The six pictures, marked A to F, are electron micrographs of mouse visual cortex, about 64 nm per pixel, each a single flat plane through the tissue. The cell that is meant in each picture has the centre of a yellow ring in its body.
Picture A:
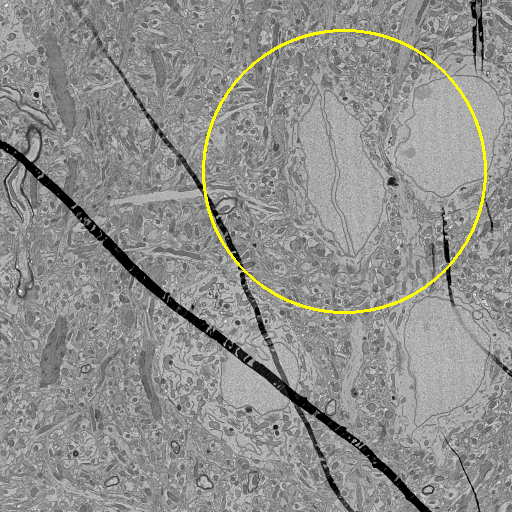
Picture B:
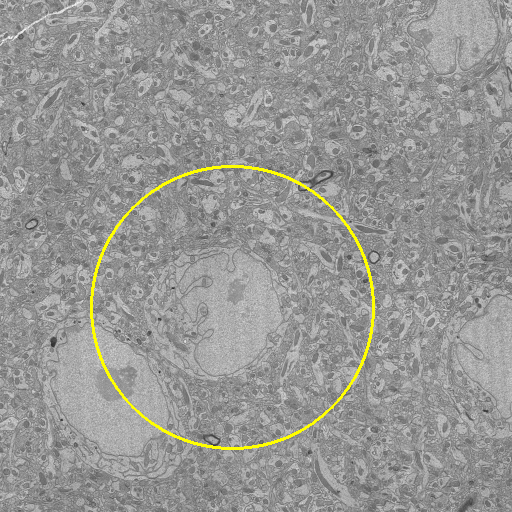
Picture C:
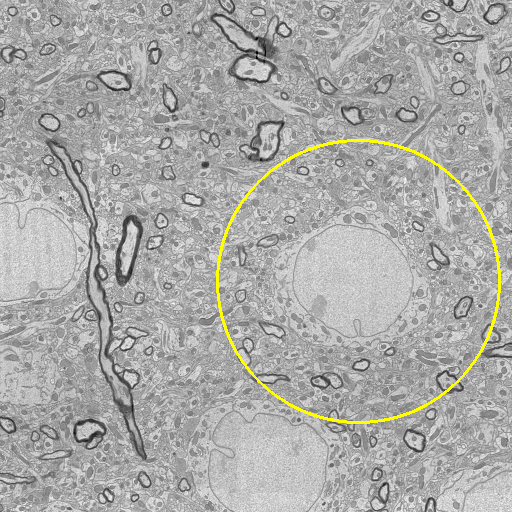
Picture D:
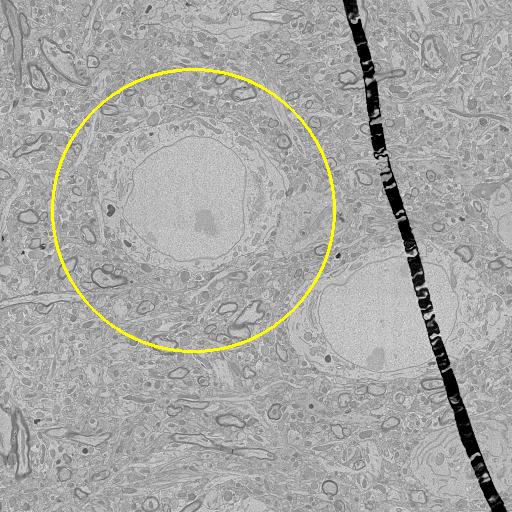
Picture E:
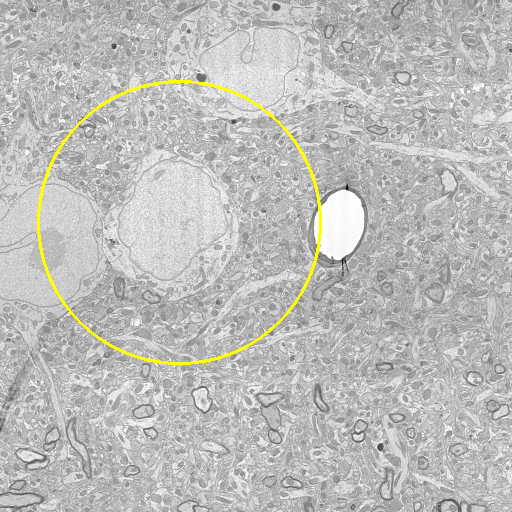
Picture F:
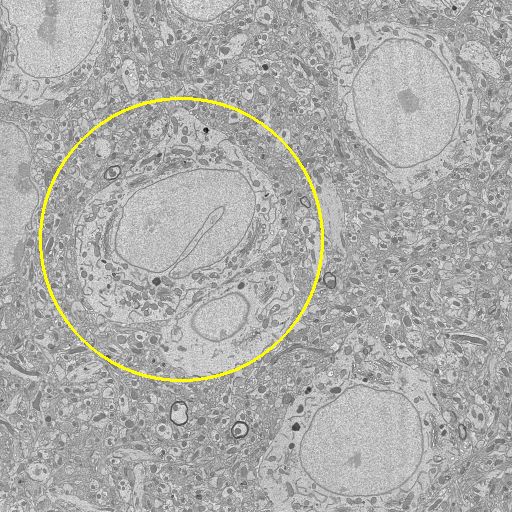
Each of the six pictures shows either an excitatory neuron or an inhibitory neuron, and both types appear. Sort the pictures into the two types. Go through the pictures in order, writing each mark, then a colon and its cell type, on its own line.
A: inhibitory neuron
B: inhibitory neuron
C: excitatory neuron
D: excitatory neuron
E: inhibitory neuron
F: inhibitory neuron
